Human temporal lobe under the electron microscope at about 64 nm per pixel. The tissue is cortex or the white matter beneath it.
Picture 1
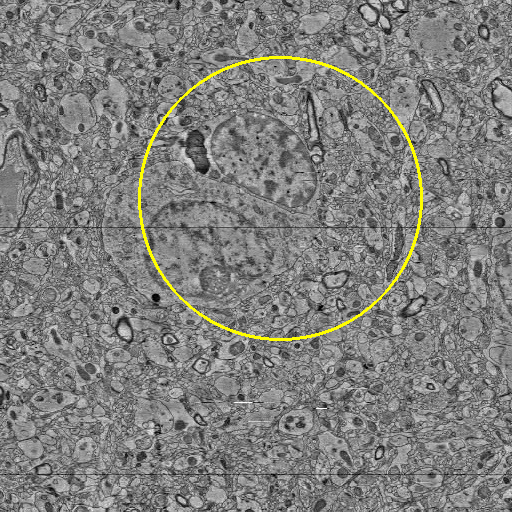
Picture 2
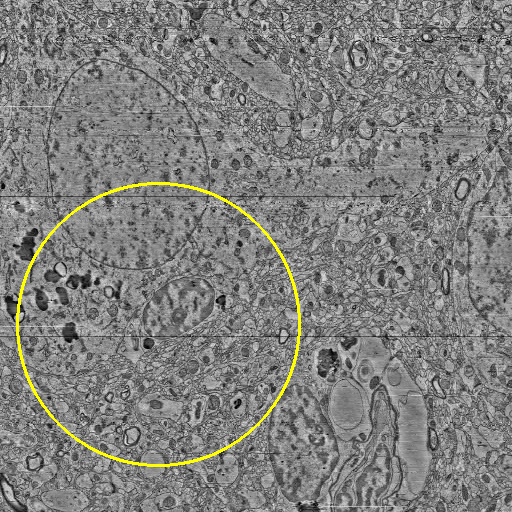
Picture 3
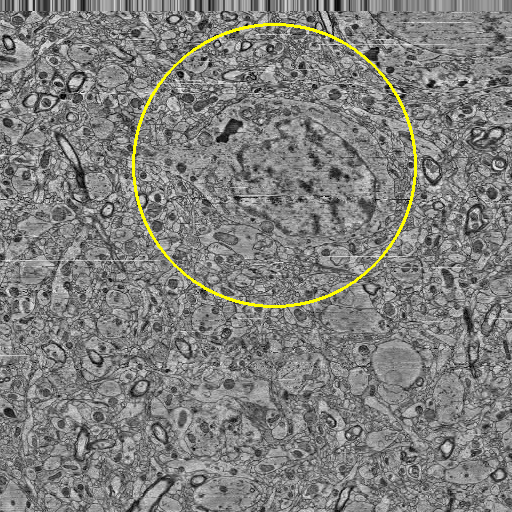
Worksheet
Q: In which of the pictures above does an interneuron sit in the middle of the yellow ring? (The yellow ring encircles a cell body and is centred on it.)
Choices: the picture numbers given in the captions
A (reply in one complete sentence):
In picture 3, the cell sitting at the centre of the ring is the match.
